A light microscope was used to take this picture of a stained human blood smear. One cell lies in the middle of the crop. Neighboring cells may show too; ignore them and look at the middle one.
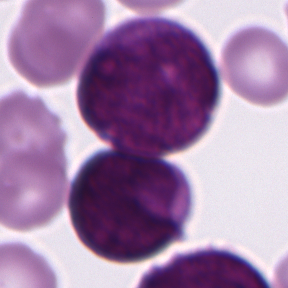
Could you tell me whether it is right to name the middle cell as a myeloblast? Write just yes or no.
yes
